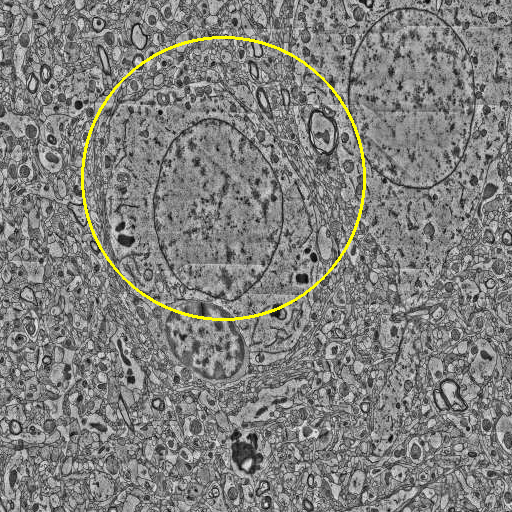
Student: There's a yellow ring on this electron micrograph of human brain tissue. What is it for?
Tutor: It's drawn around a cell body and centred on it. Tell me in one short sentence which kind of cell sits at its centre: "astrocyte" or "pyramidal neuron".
The cell at the centre of the ring is a pyramidal neuron.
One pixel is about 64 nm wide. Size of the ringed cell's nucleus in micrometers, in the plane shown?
Approximately 12 micrometres long and 8 micrometres wide, in this plane.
